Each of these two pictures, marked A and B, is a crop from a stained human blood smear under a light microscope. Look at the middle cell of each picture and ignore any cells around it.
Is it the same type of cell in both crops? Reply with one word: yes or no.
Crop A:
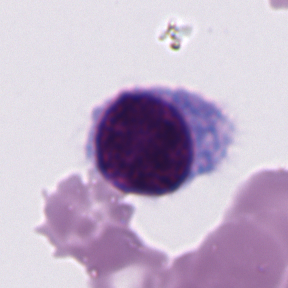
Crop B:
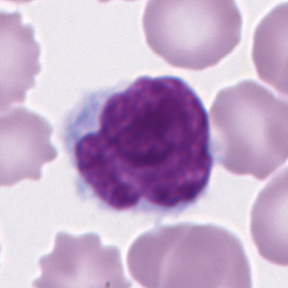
yes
